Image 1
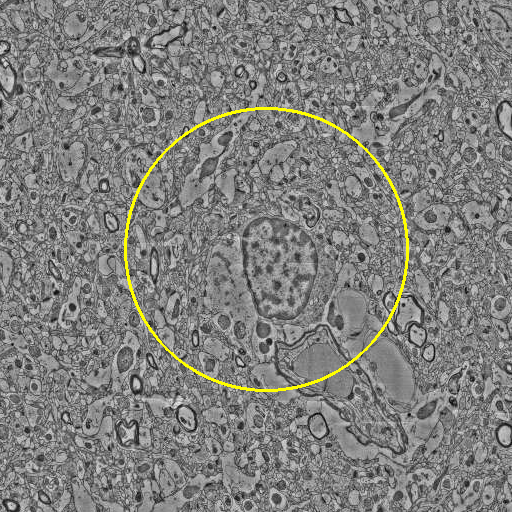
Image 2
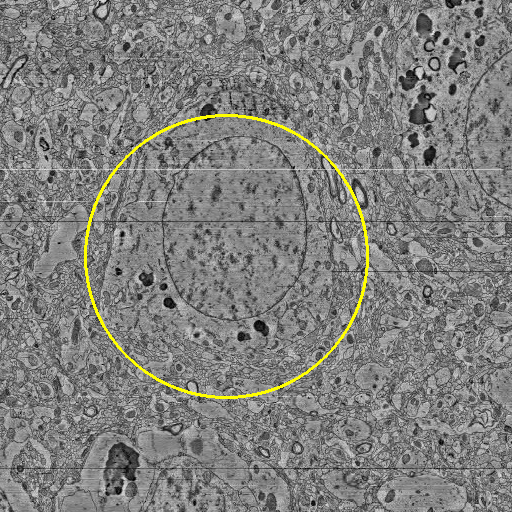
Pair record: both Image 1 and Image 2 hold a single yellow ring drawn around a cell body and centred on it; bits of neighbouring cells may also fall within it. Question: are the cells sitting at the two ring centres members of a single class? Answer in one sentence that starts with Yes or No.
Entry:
No, the ring-centre cells in Image 1 and Image 2 come from two classes.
